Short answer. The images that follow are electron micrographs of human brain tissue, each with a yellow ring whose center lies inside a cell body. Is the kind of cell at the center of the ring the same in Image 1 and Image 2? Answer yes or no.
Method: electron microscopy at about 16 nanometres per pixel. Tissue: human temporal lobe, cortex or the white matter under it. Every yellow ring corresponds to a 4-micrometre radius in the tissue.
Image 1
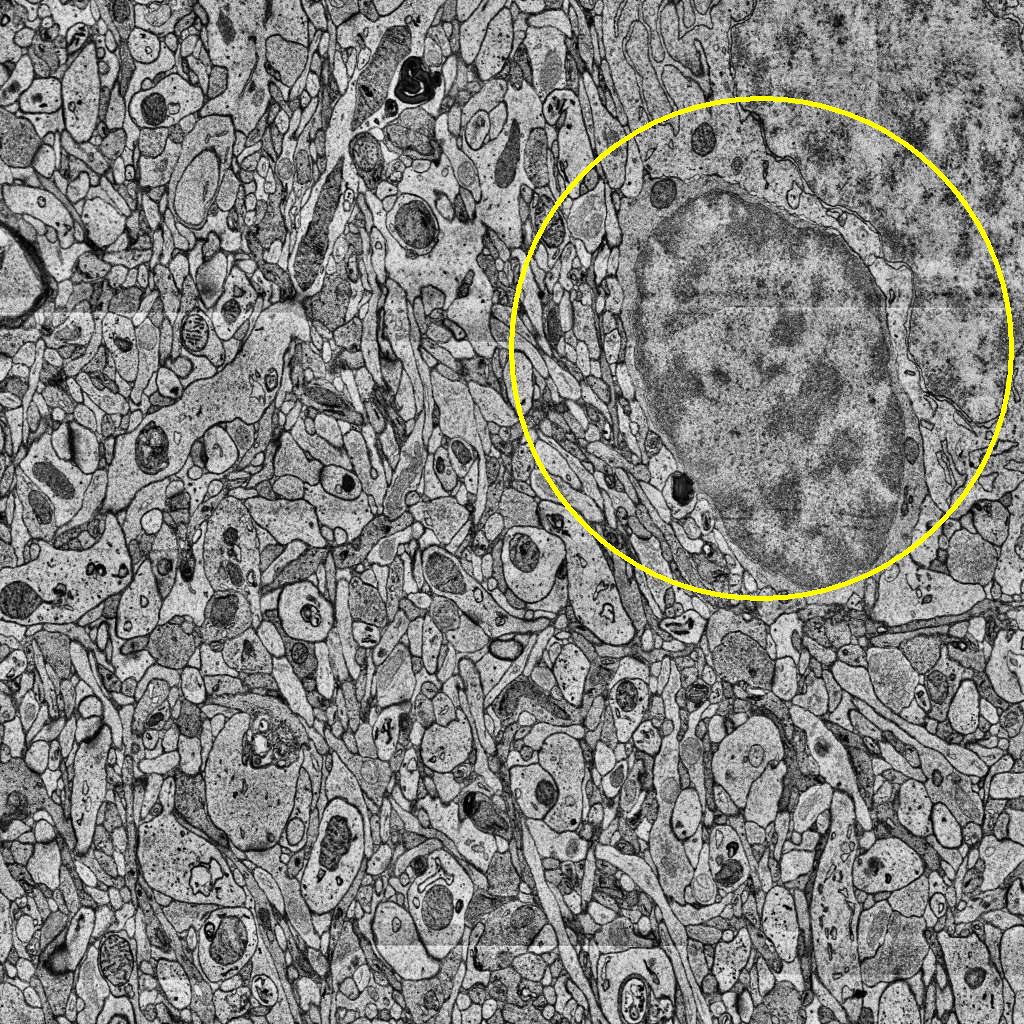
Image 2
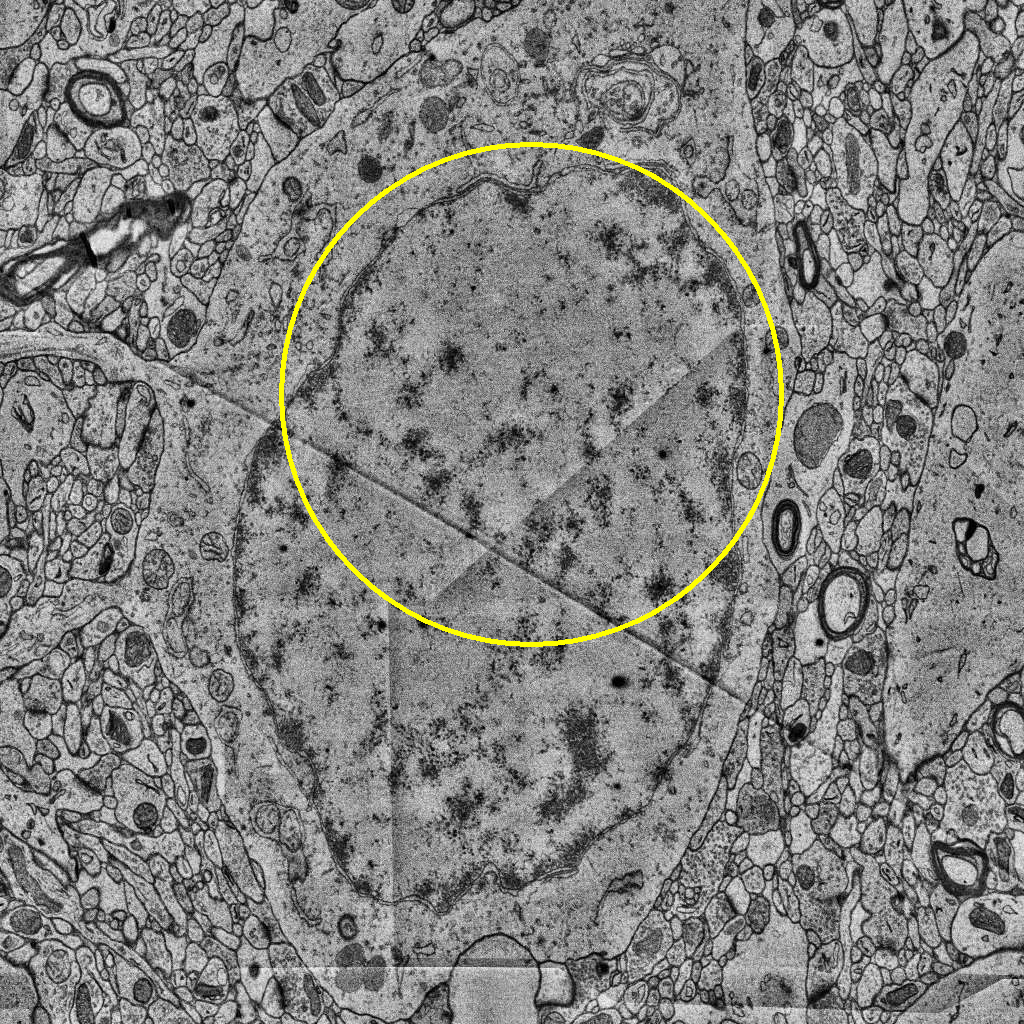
no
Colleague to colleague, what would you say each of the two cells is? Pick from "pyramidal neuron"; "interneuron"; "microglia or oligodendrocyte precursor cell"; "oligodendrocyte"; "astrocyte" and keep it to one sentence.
The two cells are an oligodendrocyte in the first picture and an interneuron in the second.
